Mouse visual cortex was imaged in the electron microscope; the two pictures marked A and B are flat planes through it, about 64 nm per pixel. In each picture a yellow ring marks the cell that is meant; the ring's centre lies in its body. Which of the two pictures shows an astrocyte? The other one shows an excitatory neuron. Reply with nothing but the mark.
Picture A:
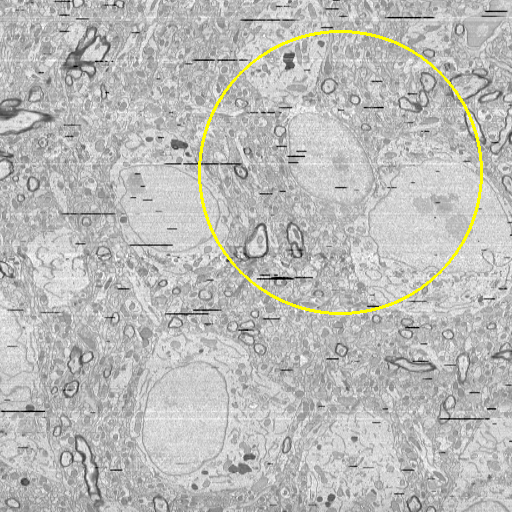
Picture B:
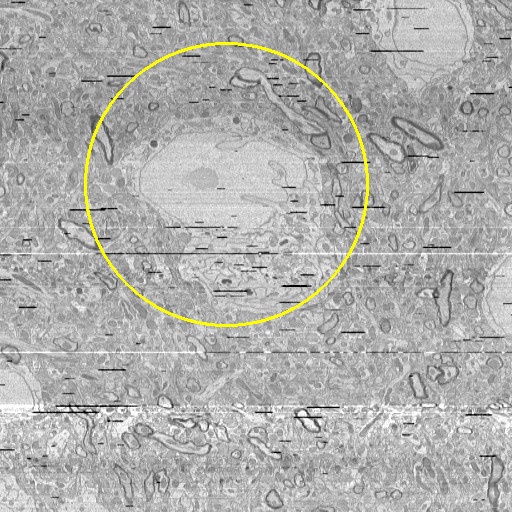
A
